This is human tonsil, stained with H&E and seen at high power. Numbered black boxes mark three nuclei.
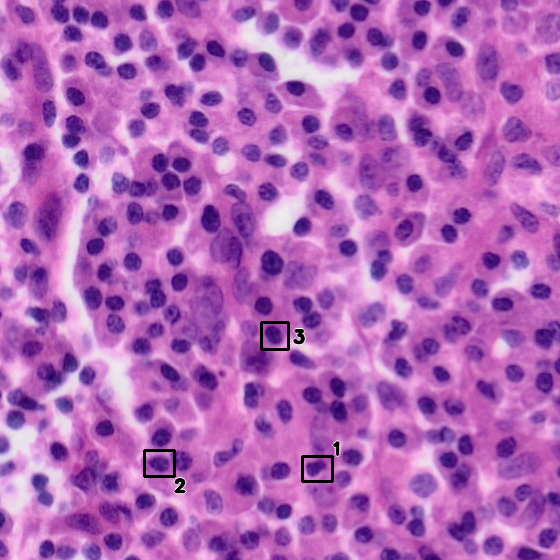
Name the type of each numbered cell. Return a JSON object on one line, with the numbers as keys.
{"1": "squamous epithelial cell", "2": "plasma cell", "3": "plasma cell"}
